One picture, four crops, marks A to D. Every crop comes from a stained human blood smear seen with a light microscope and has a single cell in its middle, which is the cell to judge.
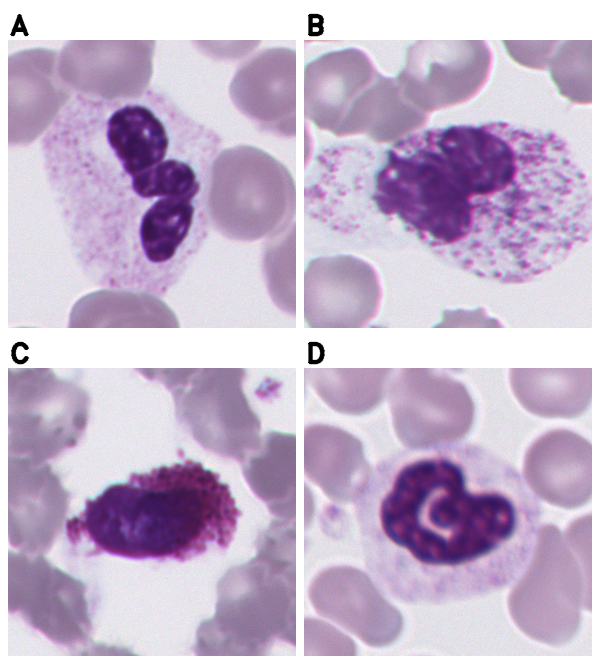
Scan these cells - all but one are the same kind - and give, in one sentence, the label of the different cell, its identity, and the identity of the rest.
The one crop not showing segmented neutrophils is crop C, which shows an eosinophil.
